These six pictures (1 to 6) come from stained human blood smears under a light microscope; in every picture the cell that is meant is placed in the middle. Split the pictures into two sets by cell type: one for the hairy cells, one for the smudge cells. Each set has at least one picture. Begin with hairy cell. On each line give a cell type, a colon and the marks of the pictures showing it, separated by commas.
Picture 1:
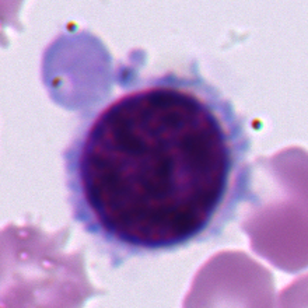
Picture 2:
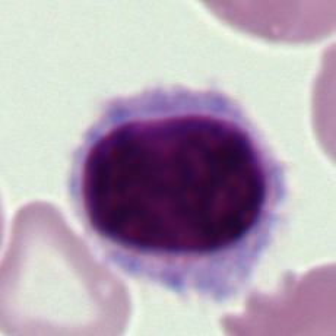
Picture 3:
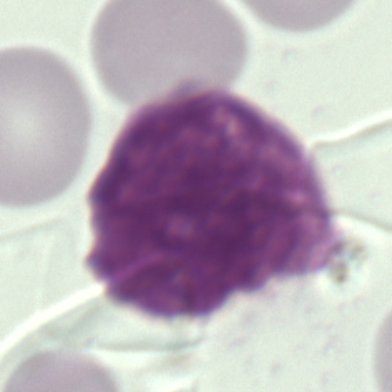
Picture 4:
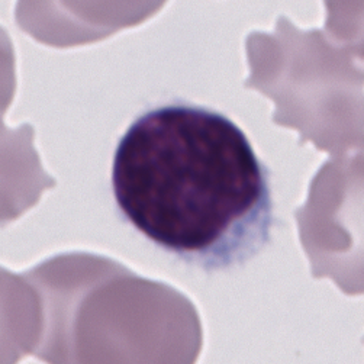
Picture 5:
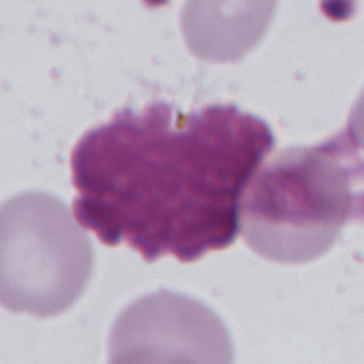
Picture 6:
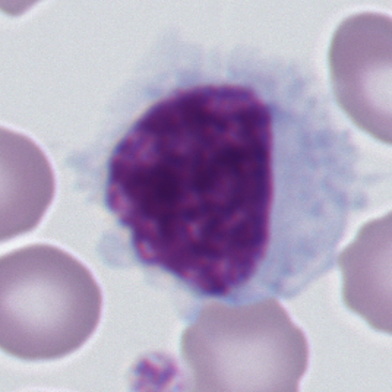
hairy cell: 1, 2, 4, 6
smudge cell: 3, 5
